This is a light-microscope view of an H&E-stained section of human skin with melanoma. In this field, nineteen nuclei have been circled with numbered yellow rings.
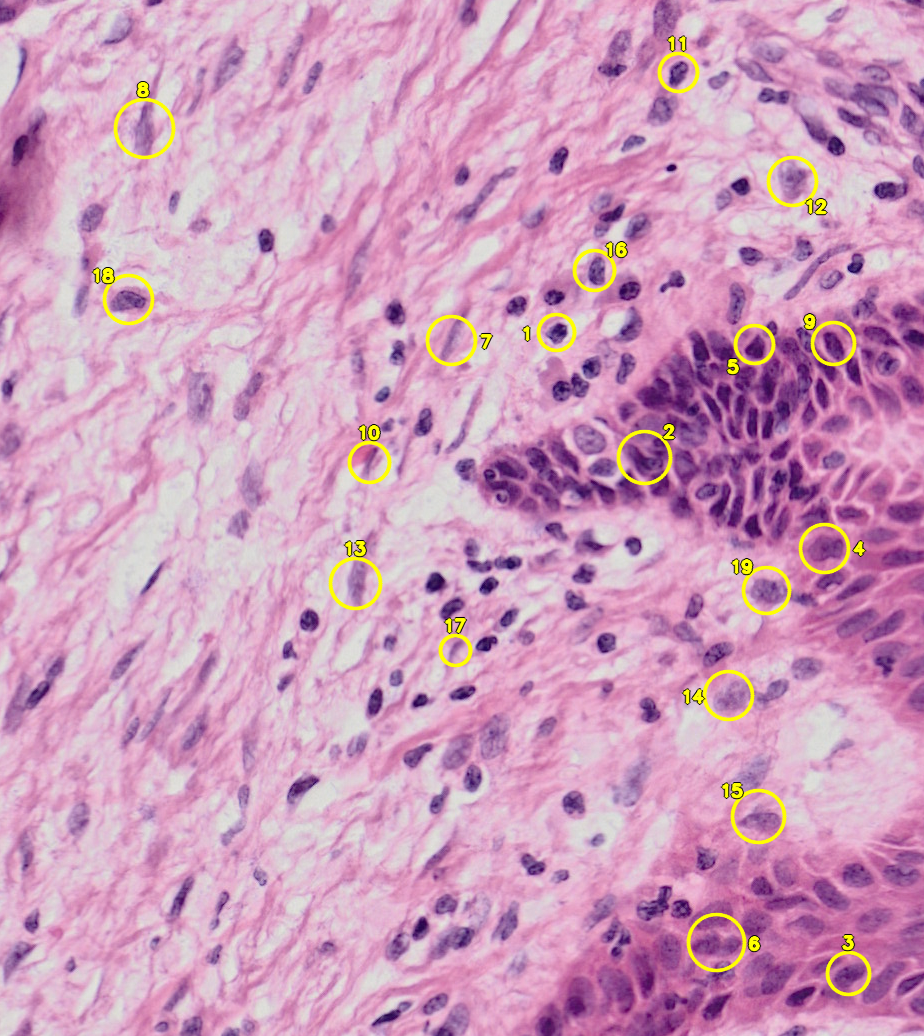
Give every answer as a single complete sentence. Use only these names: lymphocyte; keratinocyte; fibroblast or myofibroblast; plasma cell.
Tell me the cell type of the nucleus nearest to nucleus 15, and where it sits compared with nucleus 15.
Just below nucleus 15 lies the nearest nucleus, which belongs to a keratinocyte.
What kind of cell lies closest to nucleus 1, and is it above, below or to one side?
The closest nucleus belongs to a plasma cell and sits above nucleus 1.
